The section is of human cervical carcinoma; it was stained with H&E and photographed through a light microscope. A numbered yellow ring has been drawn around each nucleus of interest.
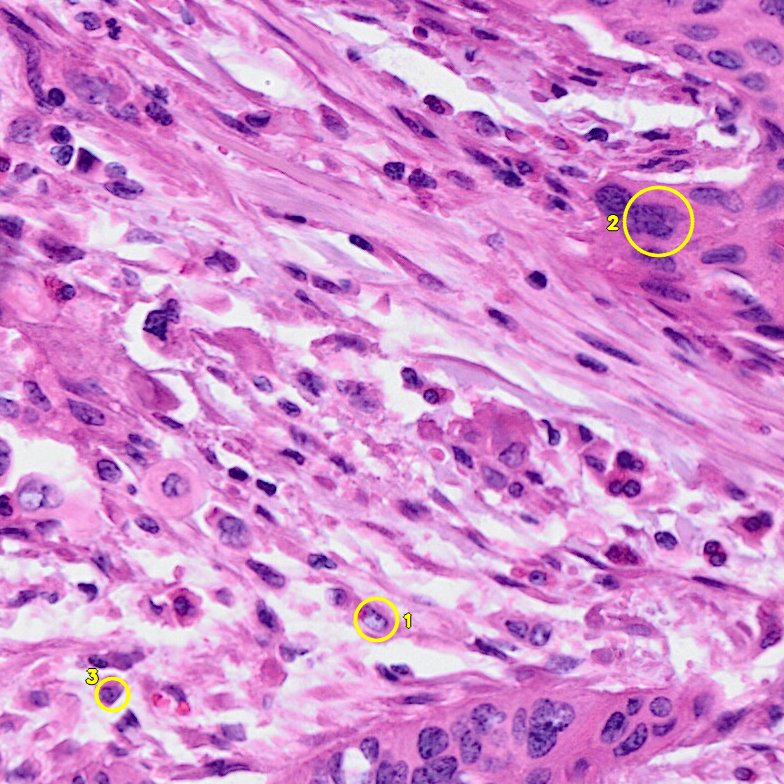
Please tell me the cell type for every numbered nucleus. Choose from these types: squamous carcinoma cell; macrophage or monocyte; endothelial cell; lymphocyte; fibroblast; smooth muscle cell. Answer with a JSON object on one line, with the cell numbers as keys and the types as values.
{"1": "endothelial cell", "2": "squamous carcinoma cell", "3": "macrophage or monocyte"}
